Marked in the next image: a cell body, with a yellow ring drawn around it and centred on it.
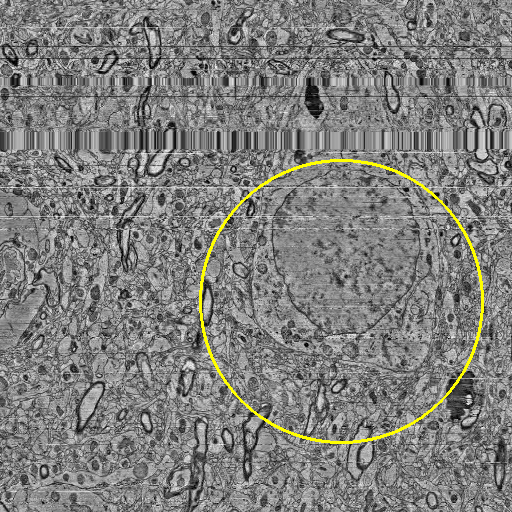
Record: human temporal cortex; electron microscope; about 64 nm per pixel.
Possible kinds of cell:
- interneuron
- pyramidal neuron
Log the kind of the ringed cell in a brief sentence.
The ringed cell body is that of a pyramidal neuron.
